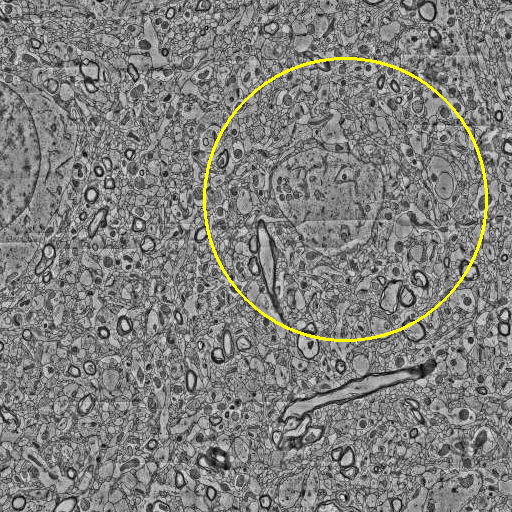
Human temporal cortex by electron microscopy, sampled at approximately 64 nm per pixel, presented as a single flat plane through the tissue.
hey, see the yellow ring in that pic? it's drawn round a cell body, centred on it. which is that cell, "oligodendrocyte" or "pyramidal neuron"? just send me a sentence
The cell in the ring is a pyramidal neuron.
